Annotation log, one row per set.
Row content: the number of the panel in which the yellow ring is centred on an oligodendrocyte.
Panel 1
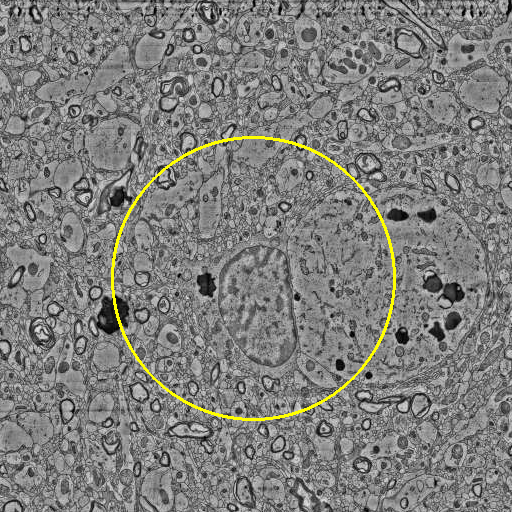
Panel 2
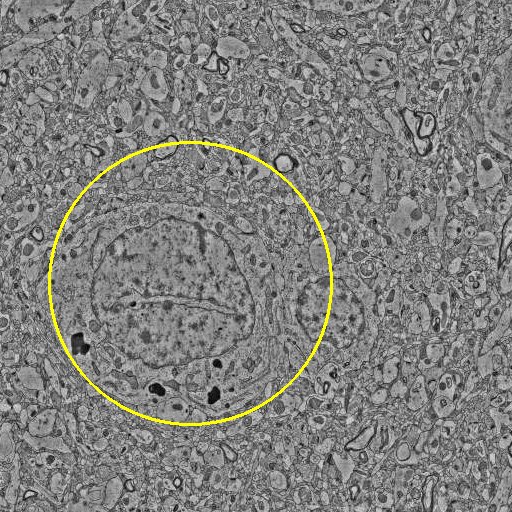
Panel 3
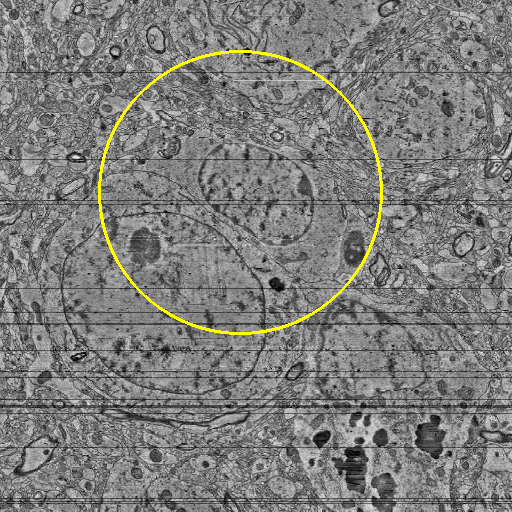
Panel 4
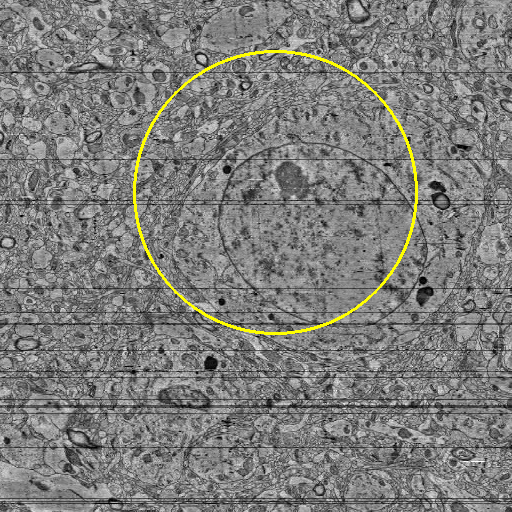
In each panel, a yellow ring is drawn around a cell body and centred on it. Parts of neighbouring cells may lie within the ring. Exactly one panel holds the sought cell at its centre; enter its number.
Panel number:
1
